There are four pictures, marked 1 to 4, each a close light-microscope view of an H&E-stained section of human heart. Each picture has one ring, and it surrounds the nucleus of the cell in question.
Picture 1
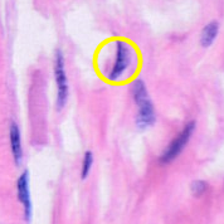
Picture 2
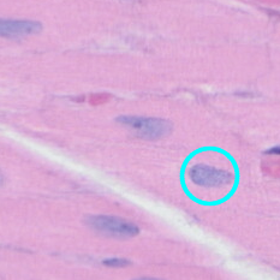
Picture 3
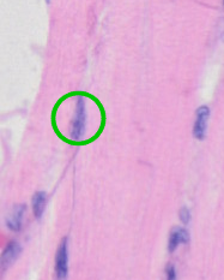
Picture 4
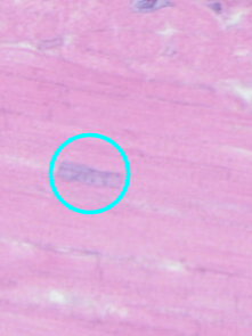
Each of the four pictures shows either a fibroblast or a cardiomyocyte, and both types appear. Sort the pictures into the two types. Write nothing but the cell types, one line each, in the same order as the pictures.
fibroblast
cardiomyocyte
fibroblast
cardiomyocyte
